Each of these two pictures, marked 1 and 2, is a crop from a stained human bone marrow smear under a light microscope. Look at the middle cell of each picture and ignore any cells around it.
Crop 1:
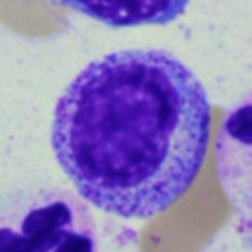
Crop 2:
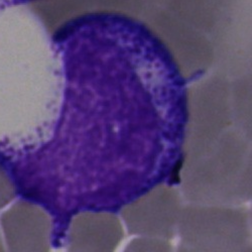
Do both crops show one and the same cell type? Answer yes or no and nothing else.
no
